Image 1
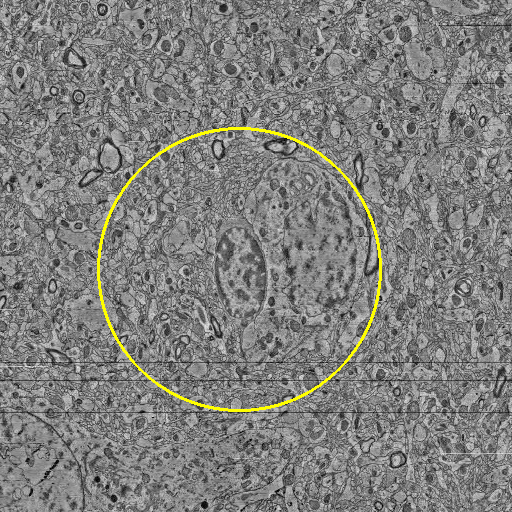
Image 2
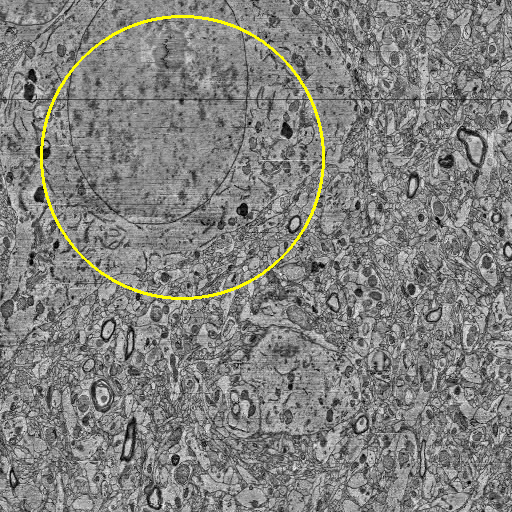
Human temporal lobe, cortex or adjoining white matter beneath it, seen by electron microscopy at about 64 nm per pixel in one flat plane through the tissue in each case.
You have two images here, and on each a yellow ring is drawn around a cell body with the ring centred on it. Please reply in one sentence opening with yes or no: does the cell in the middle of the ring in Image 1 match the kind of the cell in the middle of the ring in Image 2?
No, the two images show cells of two kinds at the centres of their rings.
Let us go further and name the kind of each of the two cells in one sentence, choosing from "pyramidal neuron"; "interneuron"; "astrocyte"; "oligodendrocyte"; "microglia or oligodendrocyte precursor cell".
The ring of the first picture is on an oligodendrocyte, the ring of the second on a pyramidal neuron.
